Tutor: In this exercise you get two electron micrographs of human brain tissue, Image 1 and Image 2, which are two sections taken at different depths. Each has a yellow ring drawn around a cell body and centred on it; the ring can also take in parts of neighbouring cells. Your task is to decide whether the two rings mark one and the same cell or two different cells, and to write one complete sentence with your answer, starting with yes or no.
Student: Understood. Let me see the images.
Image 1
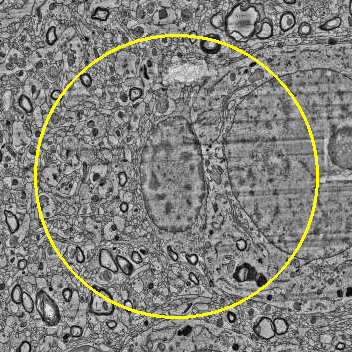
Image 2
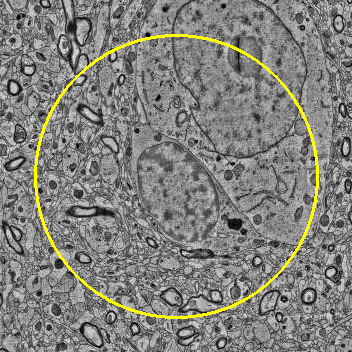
No, these two rings belong to two distinct cells.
